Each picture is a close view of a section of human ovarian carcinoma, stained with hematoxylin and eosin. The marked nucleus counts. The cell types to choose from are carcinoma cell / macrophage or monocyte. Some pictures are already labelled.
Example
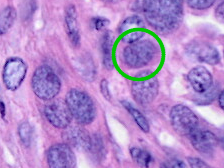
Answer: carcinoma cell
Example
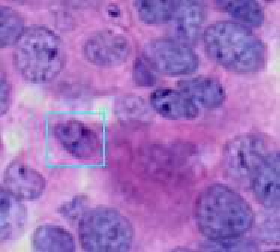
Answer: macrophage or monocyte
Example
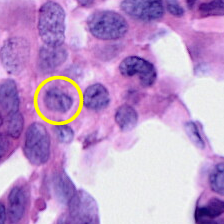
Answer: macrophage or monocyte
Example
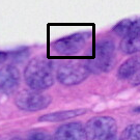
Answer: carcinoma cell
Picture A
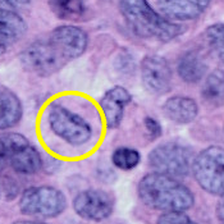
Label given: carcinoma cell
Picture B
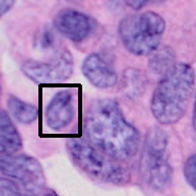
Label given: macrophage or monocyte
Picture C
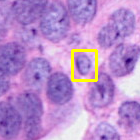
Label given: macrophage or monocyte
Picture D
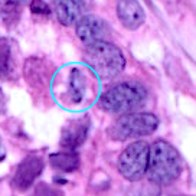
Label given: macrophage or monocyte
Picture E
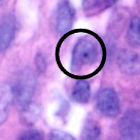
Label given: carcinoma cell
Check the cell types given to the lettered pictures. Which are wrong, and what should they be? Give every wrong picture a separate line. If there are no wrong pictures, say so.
Wrong: A (carcinoma cell); correct: macrophage or monocyte
Wrong: E (carcinoma cell); correct: macrophage or monocyte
